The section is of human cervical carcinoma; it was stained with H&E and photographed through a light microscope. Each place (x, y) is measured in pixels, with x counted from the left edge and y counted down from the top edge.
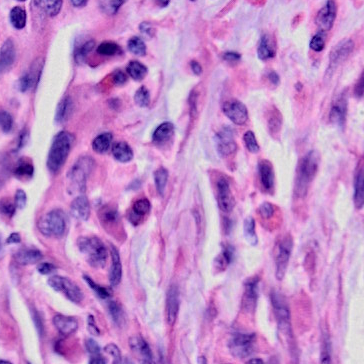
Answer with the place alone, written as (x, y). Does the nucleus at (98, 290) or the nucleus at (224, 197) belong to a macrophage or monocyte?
(224, 197)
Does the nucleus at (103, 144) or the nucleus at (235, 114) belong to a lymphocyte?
(103, 144)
